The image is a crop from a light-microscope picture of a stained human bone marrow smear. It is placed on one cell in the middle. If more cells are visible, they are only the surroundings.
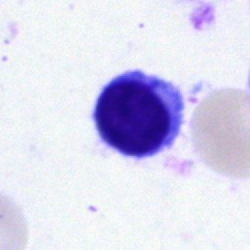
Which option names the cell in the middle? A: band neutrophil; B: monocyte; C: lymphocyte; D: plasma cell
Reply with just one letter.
C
